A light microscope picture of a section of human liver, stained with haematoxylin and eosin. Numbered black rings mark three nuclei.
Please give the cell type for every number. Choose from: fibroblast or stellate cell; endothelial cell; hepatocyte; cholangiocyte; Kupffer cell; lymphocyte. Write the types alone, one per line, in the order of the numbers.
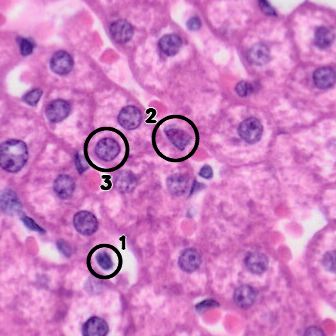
lymphocyte
endothelial cell
hepatocyte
